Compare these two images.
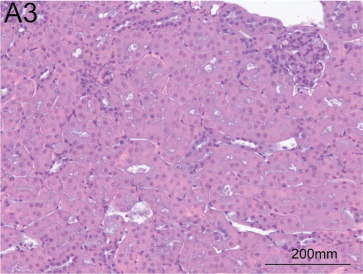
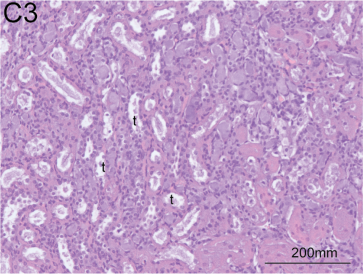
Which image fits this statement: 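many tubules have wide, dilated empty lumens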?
the second image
